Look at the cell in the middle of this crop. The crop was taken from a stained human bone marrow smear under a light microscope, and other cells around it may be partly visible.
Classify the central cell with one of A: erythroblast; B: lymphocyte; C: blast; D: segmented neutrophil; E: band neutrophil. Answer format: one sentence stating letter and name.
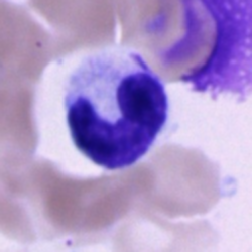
Located in the middle of the crop is a band neutrophil, and option E is therefore correct.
